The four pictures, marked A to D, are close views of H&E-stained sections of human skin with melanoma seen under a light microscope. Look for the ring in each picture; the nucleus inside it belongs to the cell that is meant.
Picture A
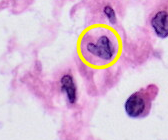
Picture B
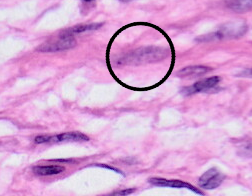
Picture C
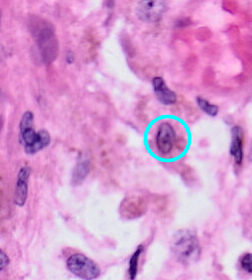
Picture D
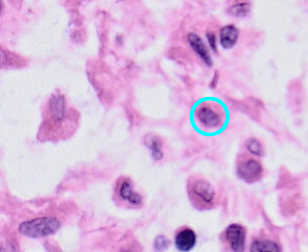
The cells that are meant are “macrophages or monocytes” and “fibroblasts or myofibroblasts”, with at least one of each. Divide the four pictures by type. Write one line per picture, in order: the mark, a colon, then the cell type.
A: macrophage or monocyte
B: fibroblast or myofibroblast
C: macrophage or monocyte
D: macrophage or monocyte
